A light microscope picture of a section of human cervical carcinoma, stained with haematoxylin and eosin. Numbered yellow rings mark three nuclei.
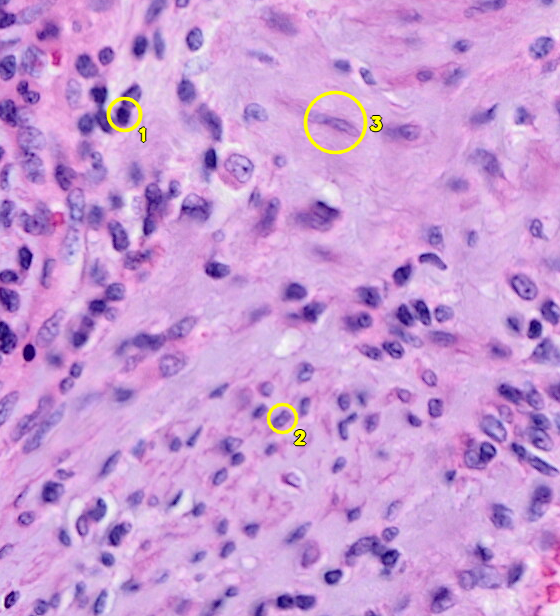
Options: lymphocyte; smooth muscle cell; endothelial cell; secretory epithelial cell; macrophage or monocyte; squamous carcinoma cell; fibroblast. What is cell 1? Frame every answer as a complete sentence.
The cell tagged with 1 in this tissue section is a lymphocyte.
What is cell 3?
Numbered cell 3 is a smooth muscle cell in this tissue section.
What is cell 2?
The cell identified by number 2 is a smooth muscle cell.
